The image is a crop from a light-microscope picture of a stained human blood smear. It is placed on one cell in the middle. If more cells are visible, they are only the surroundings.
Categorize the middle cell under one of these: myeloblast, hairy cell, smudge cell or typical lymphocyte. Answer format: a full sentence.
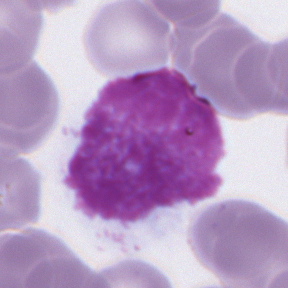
Occupying the centre of the crop is a smudge cell.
